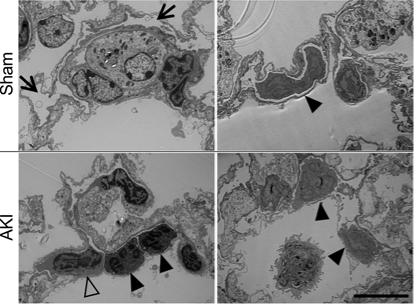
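Transmission electron micrographs of lung show thin alveolar walls containing capillaries, some of which hold neutrophils with dark, lobed nuclei. In the upper images several capillary lumina are open and empty, bounded by a thin wall, and a neutrophil within a capillary appears elongated and stretched along the vessel. In the lower images capillaries contain several leukocytes packed closely one behind another, and these neutrophils look more rounded. At the head of one such row lies another leukocyte with a less lobed nucleus.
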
